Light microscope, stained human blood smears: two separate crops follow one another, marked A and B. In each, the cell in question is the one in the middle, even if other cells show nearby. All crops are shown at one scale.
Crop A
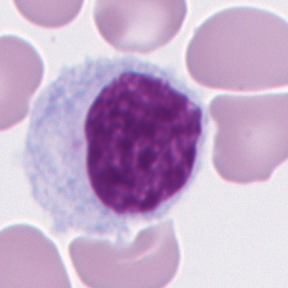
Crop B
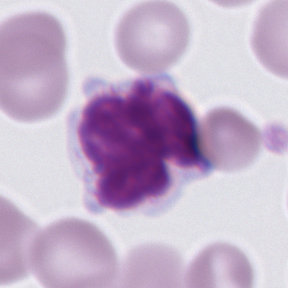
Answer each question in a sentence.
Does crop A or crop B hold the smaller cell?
The cell in crop B is smaller; the one in crop A has about 1.5 times its area.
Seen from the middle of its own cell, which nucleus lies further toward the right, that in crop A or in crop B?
The nucleus in crop A lies further toward the right of its cell.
